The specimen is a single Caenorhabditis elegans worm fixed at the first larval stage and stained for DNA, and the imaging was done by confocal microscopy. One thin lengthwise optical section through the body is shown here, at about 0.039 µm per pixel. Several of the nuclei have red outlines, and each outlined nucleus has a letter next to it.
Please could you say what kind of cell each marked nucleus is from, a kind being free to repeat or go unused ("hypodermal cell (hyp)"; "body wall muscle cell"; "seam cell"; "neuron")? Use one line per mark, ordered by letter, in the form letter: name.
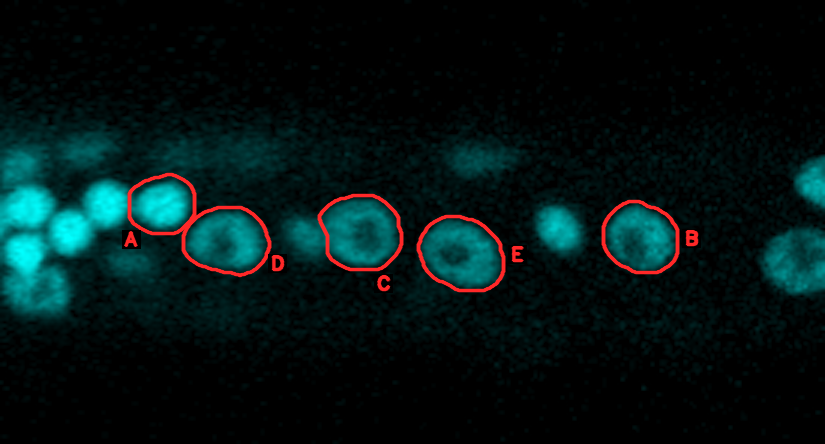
A: neuron
B: seam cell
C: hypodermal cell (hyp)
D: seam cell
E: hypodermal cell (hyp)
